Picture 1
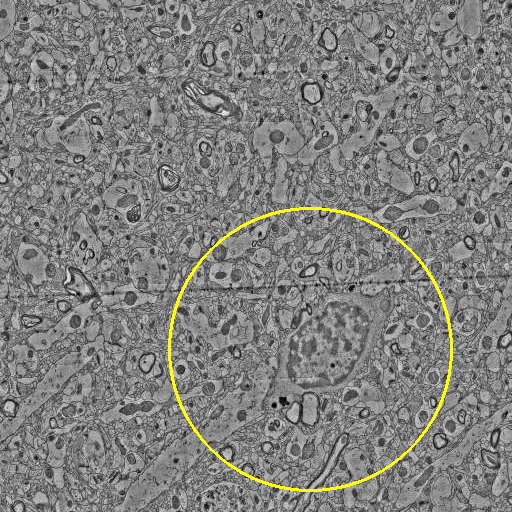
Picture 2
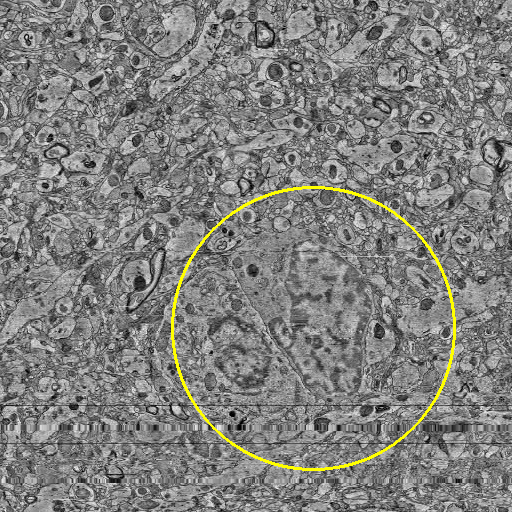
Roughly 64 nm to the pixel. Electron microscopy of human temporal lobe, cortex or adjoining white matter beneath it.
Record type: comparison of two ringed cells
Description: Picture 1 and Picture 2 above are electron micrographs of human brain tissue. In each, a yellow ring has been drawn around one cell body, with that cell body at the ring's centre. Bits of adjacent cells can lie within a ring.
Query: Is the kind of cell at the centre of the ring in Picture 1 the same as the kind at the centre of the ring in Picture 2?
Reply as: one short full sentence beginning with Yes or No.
Yes, the two ringed cells are of the same kind.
